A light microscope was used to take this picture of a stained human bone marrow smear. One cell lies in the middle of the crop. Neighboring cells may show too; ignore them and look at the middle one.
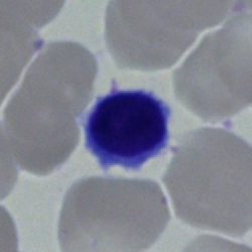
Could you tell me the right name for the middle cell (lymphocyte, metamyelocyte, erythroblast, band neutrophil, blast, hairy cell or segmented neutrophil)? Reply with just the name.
lymphocyte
